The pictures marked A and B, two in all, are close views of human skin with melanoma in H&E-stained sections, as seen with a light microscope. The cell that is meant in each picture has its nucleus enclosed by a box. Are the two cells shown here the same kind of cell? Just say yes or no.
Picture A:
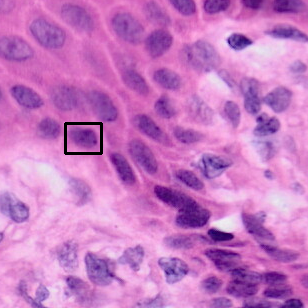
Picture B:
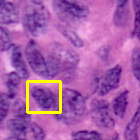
no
